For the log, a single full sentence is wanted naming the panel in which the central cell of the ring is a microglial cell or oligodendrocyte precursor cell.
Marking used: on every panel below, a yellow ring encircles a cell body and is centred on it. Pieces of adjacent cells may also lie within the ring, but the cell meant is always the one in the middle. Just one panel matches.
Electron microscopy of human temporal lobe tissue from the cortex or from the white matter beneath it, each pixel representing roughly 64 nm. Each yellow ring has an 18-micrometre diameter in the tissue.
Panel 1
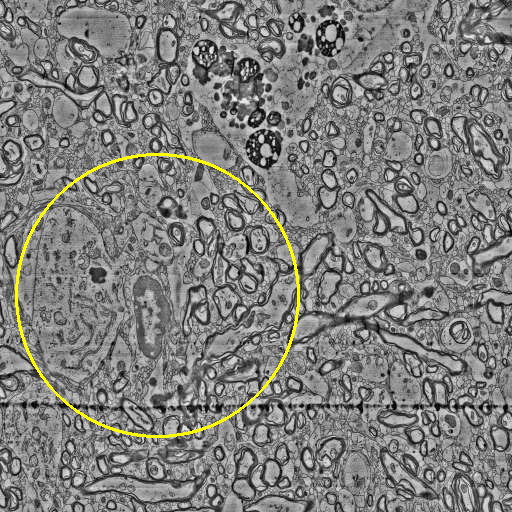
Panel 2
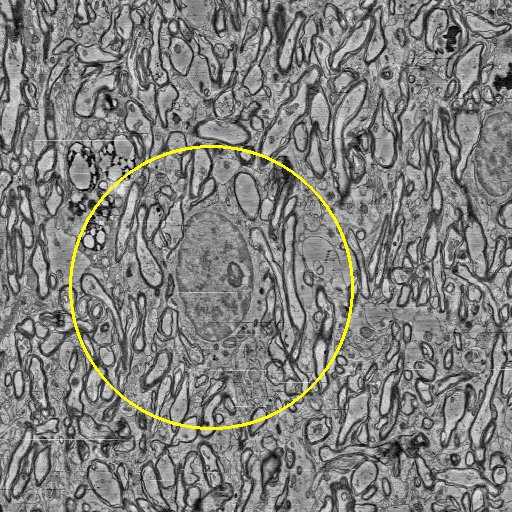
The cell in the middle of the ring in panel 1 is the one asked for.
